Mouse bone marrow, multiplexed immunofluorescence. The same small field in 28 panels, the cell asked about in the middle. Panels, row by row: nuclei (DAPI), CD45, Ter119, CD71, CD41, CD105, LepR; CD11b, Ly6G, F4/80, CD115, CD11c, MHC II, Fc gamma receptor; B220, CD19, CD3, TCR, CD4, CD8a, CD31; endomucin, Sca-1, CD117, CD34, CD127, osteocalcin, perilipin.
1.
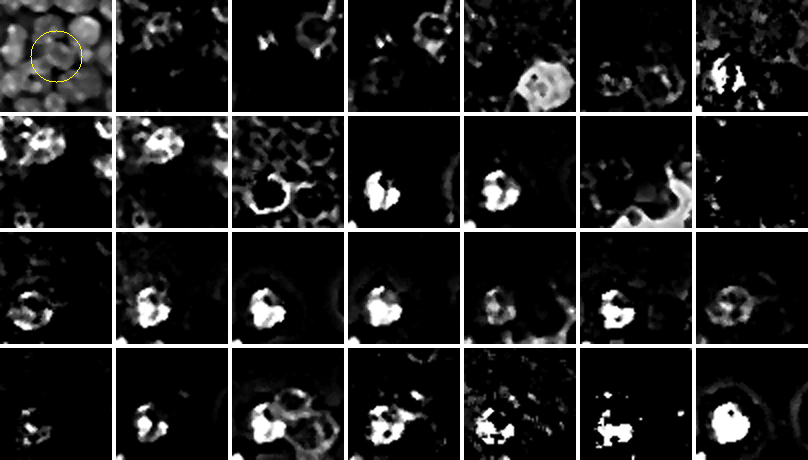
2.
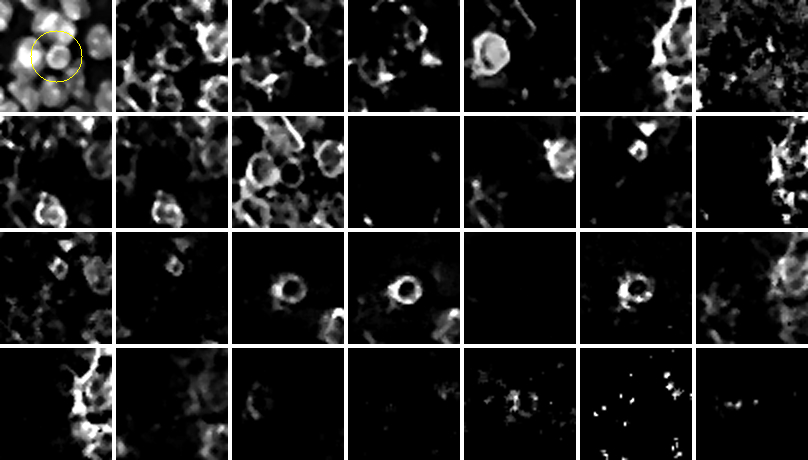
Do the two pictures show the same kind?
No: a common myeloid progenitor, then a CD8 T cell.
